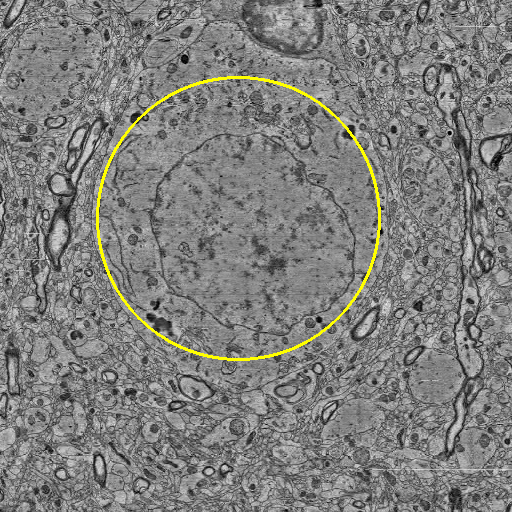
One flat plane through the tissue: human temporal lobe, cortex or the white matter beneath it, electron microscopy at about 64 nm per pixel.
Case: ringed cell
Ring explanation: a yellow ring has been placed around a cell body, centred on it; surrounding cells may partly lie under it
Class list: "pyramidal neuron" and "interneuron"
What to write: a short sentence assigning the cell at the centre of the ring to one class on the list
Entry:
The cell at the ring's centre is a pyramidal neuron.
